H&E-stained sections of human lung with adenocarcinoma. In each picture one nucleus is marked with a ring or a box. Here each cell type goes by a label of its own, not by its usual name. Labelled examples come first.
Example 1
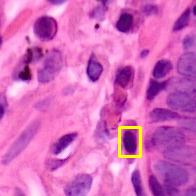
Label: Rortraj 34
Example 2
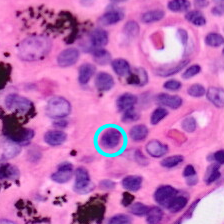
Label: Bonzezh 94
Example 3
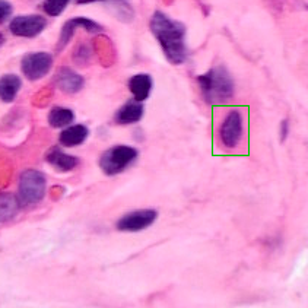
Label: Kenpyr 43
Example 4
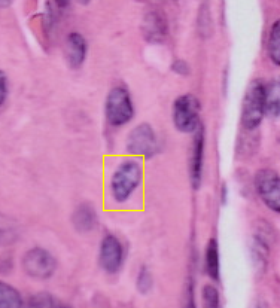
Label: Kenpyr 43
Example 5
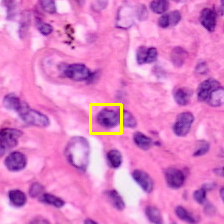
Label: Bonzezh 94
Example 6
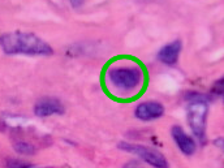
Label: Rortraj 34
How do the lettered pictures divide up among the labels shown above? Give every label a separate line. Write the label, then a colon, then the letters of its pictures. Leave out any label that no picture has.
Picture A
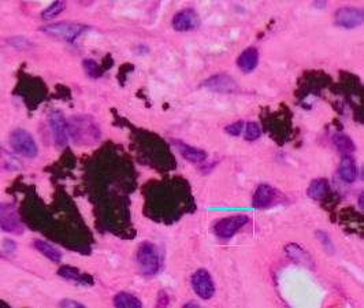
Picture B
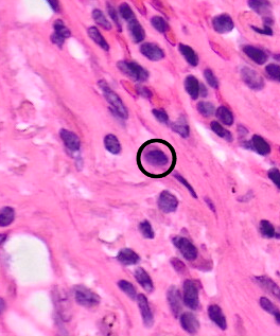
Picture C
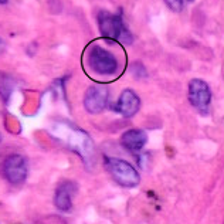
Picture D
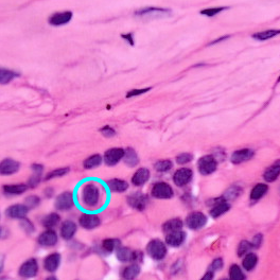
Rortraj 34: A, B, C
Bonzezh 94: D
